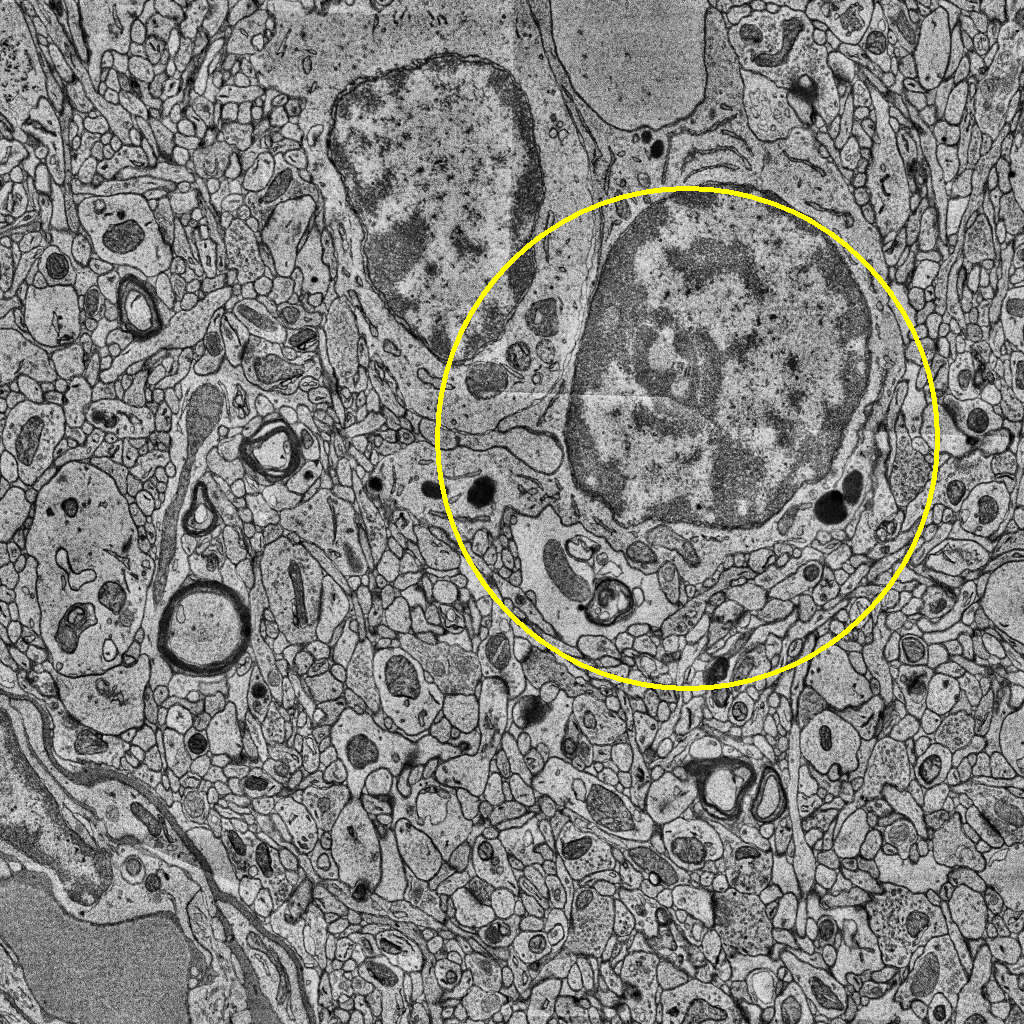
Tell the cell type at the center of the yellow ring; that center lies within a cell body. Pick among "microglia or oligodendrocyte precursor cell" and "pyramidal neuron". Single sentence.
The ring's center lies in the body of a microglial cell or oligodendrocyte precursor cell.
